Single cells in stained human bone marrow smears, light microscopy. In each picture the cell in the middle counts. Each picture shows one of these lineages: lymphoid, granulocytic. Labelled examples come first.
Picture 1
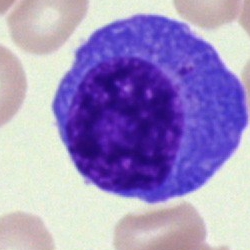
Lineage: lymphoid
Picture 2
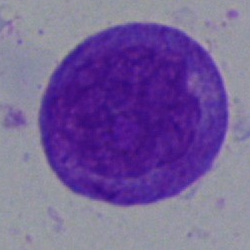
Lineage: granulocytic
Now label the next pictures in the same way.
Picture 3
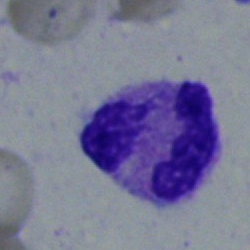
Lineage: granulocytic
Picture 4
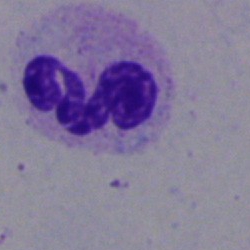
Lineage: granulocytic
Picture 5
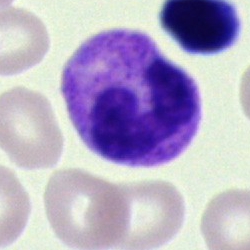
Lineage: granulocytic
